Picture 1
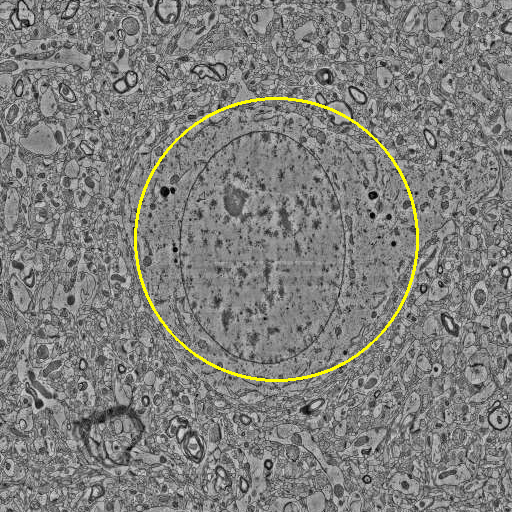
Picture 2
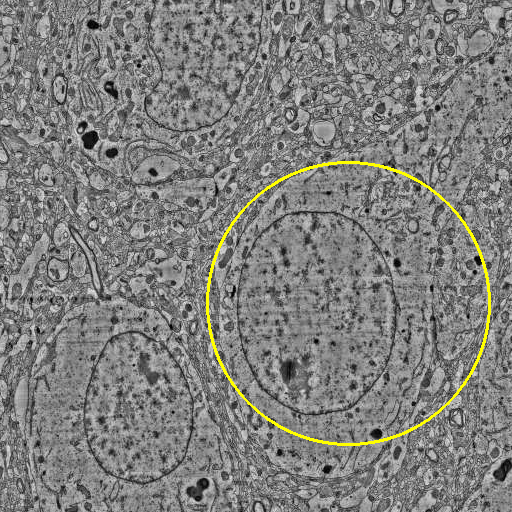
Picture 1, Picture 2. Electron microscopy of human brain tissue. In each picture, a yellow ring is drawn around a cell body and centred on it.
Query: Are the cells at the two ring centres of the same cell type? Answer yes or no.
yes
